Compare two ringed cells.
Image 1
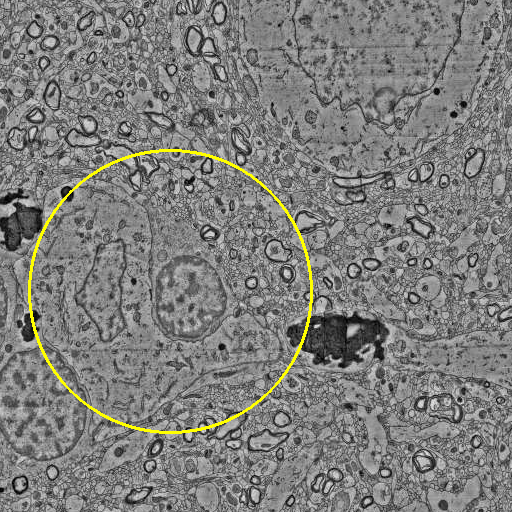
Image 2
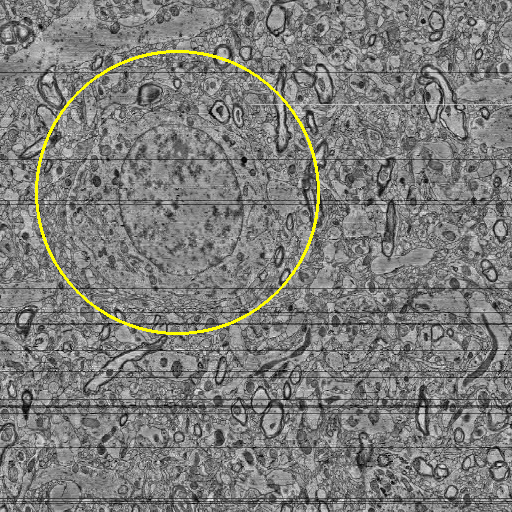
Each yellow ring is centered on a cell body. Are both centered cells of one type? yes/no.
no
